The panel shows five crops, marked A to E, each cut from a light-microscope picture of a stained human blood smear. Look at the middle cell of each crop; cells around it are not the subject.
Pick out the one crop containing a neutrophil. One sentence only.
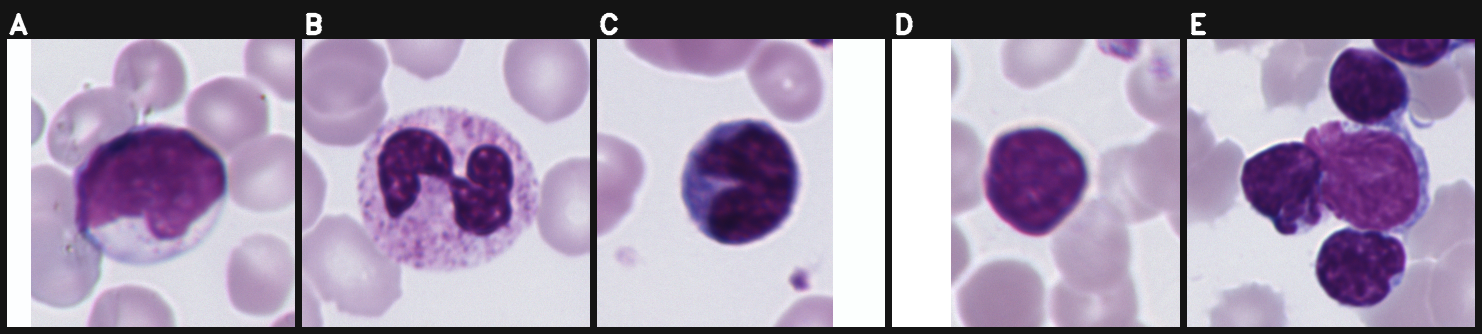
Crop B is identified as the crop showing a neutrophil.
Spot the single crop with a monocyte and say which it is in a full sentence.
As for which crop shows a monocyte, it is crop C.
